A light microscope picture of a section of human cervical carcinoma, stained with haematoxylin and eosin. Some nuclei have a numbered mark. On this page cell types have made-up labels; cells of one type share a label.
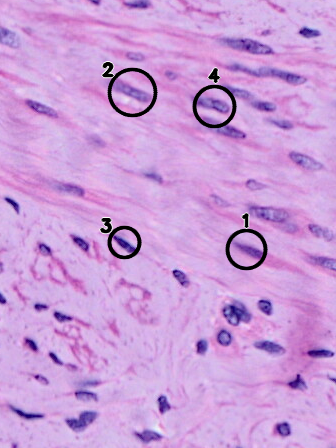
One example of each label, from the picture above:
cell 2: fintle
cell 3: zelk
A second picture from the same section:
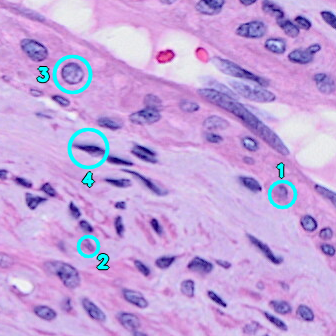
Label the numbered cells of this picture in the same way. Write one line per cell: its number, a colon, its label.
1: fintle
2: fintle
3: fintle
4: zelk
